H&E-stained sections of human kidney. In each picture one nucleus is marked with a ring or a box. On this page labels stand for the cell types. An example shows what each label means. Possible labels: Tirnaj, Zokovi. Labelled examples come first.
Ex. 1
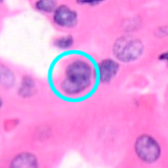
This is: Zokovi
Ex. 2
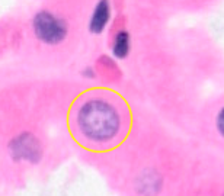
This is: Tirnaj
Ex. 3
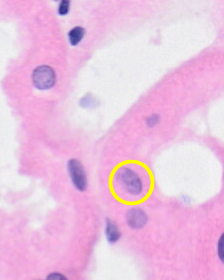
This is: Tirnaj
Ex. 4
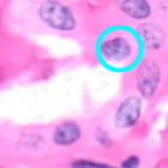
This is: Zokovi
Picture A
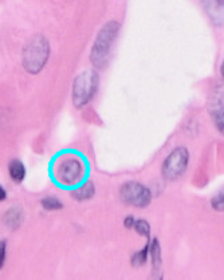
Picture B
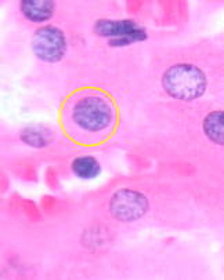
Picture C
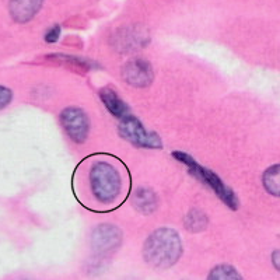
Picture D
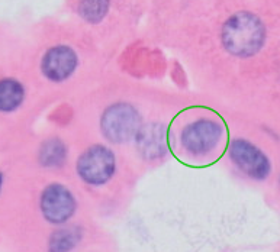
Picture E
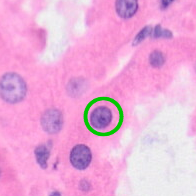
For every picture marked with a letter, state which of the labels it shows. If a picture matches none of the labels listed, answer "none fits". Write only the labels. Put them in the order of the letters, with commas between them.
Zokovi, none fits, none fits, Zokovi, Tirnaj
